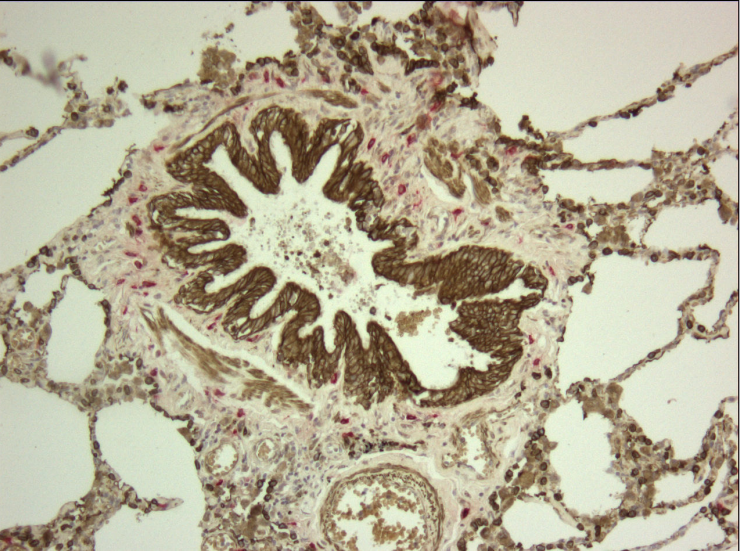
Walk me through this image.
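A small airway lies in the centre, its lumen star-shaped because the golden brown epithelial lining is thrown into many folds, with some debris in the lumen. Outside the lining a thin wall of pale connective tissue contains a curved brown band of smooth muscle on one side. All around, thin alveolar septa outline wide air spaces and carry small rounded brown cells, and a blood vessel filled with red cells lies below the airway.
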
